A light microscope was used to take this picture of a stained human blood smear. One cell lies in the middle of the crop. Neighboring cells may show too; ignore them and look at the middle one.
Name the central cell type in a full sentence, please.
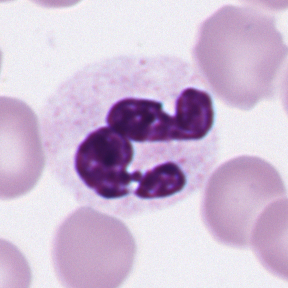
Of the cells in this crop, the central one is a segmented neutrophil.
